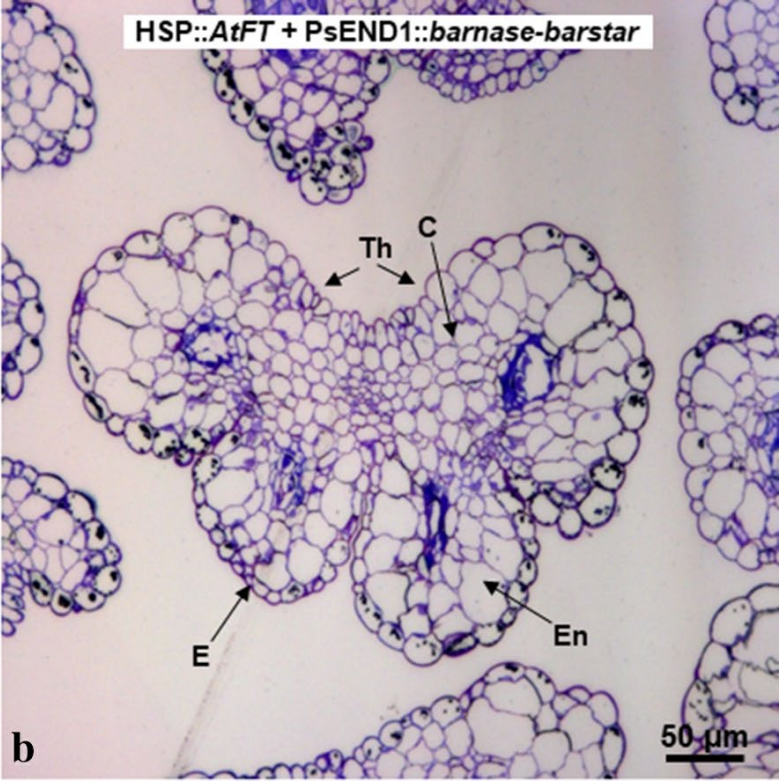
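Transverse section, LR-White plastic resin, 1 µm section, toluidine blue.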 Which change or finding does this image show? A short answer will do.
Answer: Lacked viable pollen grains.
